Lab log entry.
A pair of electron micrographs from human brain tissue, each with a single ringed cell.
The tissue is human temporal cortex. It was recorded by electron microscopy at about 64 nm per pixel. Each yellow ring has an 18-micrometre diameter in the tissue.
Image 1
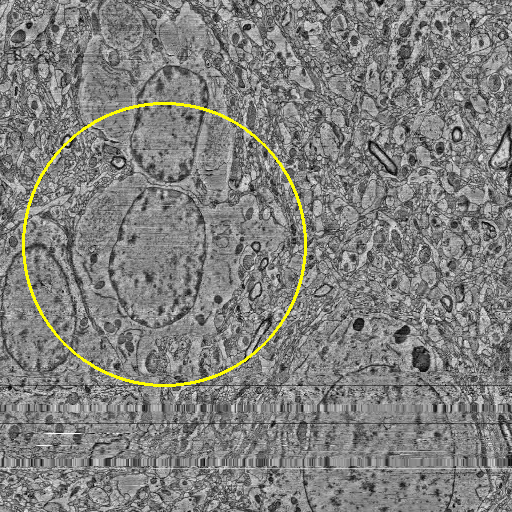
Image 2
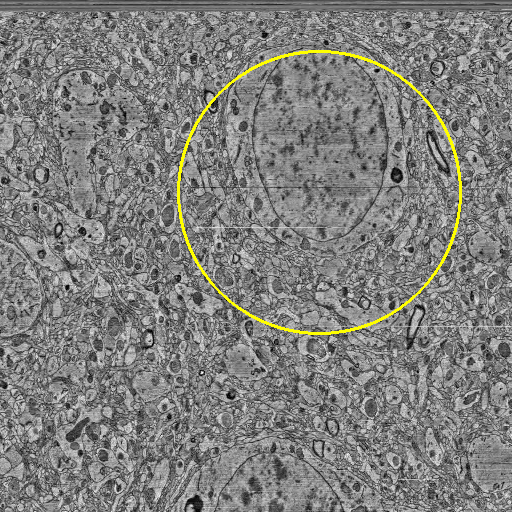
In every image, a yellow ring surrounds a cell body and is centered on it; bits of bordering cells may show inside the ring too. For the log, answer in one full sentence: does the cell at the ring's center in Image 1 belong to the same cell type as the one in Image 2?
No, the cells at the ring centers in Image 1 and Image 2 are of separate types.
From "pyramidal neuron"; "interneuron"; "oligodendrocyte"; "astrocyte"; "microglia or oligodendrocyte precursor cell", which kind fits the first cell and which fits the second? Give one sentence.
The cell marked in the first picture is an astrocyte, and the one marked in the second is a pyramidal neuron.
